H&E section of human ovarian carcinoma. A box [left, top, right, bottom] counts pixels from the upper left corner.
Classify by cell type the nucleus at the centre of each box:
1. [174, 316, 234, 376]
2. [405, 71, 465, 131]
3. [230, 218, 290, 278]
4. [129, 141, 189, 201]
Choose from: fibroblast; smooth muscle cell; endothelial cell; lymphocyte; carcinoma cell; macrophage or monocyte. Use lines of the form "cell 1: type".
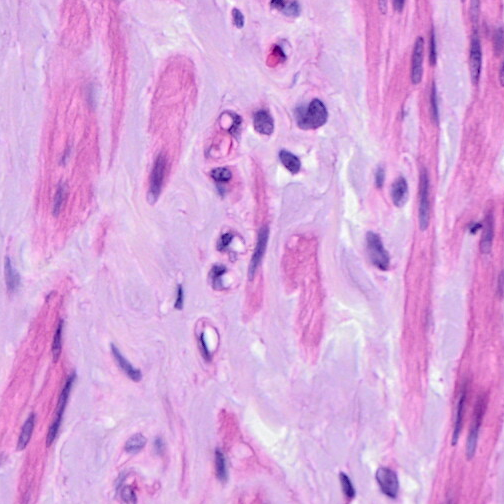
cell 1: endothelial cell
cell 2: smooth muscle cell
cell 3: smooth muscle cell
cell 4: smooth muscle cell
